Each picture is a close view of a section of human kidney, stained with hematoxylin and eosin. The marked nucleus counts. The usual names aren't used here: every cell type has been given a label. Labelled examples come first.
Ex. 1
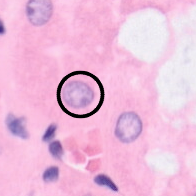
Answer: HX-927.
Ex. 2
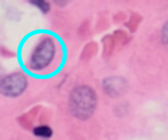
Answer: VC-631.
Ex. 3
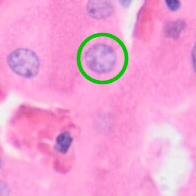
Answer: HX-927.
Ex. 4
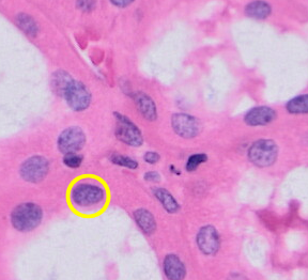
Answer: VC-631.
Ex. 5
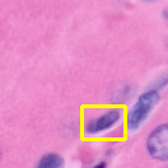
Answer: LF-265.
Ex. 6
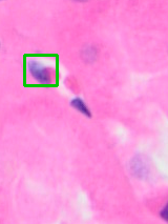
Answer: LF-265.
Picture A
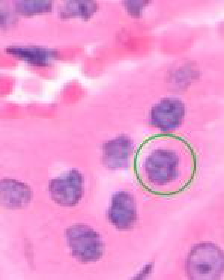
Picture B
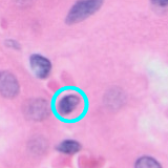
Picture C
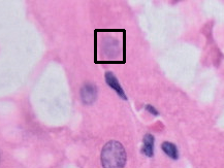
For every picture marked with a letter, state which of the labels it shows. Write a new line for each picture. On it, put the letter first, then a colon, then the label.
A: VC-631.
B: LF-265.
C: HX-927.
